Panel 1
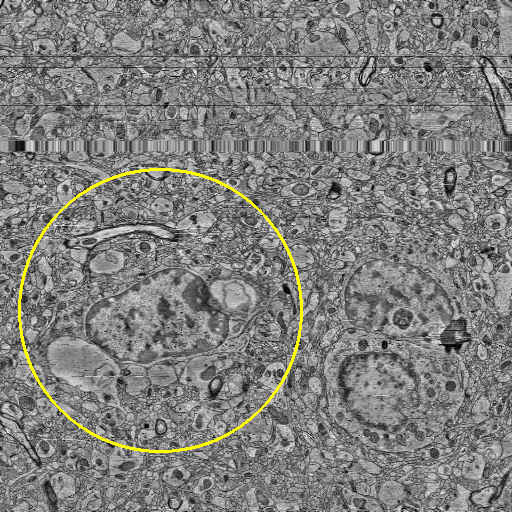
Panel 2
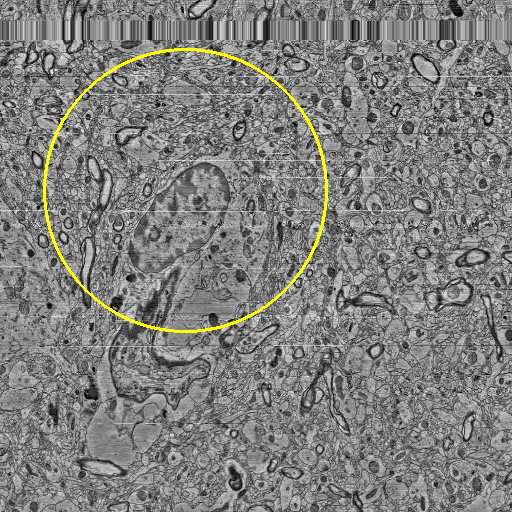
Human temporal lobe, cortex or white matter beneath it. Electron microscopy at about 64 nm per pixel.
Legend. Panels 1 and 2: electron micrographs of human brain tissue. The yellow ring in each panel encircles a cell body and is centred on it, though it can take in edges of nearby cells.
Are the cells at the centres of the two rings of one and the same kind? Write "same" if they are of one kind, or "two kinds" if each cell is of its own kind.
same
